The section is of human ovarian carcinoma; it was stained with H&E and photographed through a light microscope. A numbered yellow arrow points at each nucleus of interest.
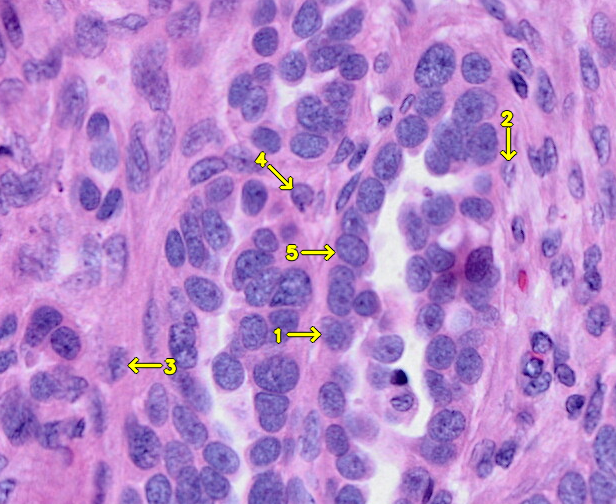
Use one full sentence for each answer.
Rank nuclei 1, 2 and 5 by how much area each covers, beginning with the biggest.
The nuclei rank 5, 1, 2, from largest to smallest.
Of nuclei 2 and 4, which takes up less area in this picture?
With nucleus 4 about 2 times its size, nucleus 2 is the smaller of the two.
